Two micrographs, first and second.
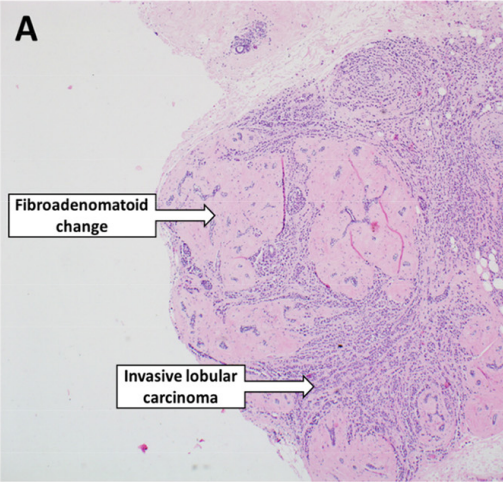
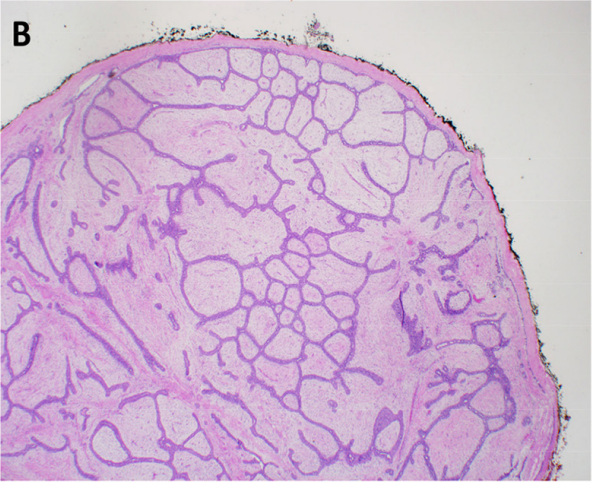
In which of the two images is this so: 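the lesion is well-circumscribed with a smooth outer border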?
The second image.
